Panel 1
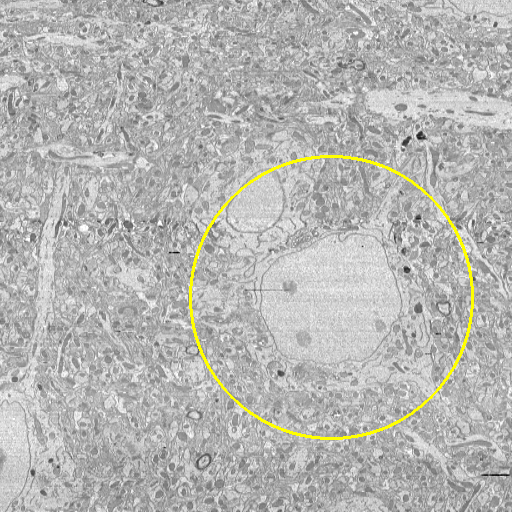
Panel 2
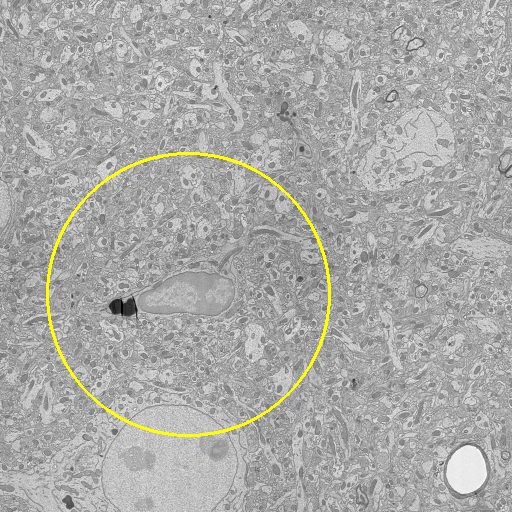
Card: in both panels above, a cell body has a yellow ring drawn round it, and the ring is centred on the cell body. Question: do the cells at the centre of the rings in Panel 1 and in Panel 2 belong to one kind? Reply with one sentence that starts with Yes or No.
No, the cells centred in the rings of Panel 1 and Panel 2 are two kinds of cell.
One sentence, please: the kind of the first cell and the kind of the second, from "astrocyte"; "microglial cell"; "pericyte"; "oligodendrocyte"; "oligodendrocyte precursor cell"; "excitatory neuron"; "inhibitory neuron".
The ring in the first picture surrounds an excitatory neuron, and the ring in the second surrounds a microglial cell.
